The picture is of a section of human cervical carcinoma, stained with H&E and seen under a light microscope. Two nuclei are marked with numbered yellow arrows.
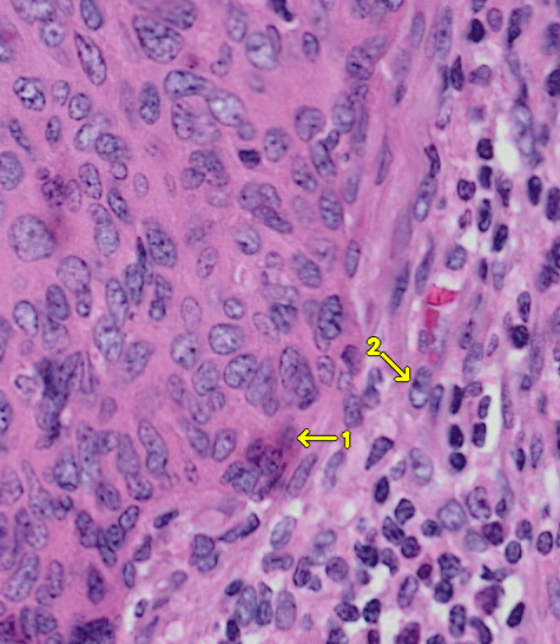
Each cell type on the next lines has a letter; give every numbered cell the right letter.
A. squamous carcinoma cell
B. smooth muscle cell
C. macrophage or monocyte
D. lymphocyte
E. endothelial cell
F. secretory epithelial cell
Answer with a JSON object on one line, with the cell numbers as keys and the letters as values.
{"1": "A", "2": "E"}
